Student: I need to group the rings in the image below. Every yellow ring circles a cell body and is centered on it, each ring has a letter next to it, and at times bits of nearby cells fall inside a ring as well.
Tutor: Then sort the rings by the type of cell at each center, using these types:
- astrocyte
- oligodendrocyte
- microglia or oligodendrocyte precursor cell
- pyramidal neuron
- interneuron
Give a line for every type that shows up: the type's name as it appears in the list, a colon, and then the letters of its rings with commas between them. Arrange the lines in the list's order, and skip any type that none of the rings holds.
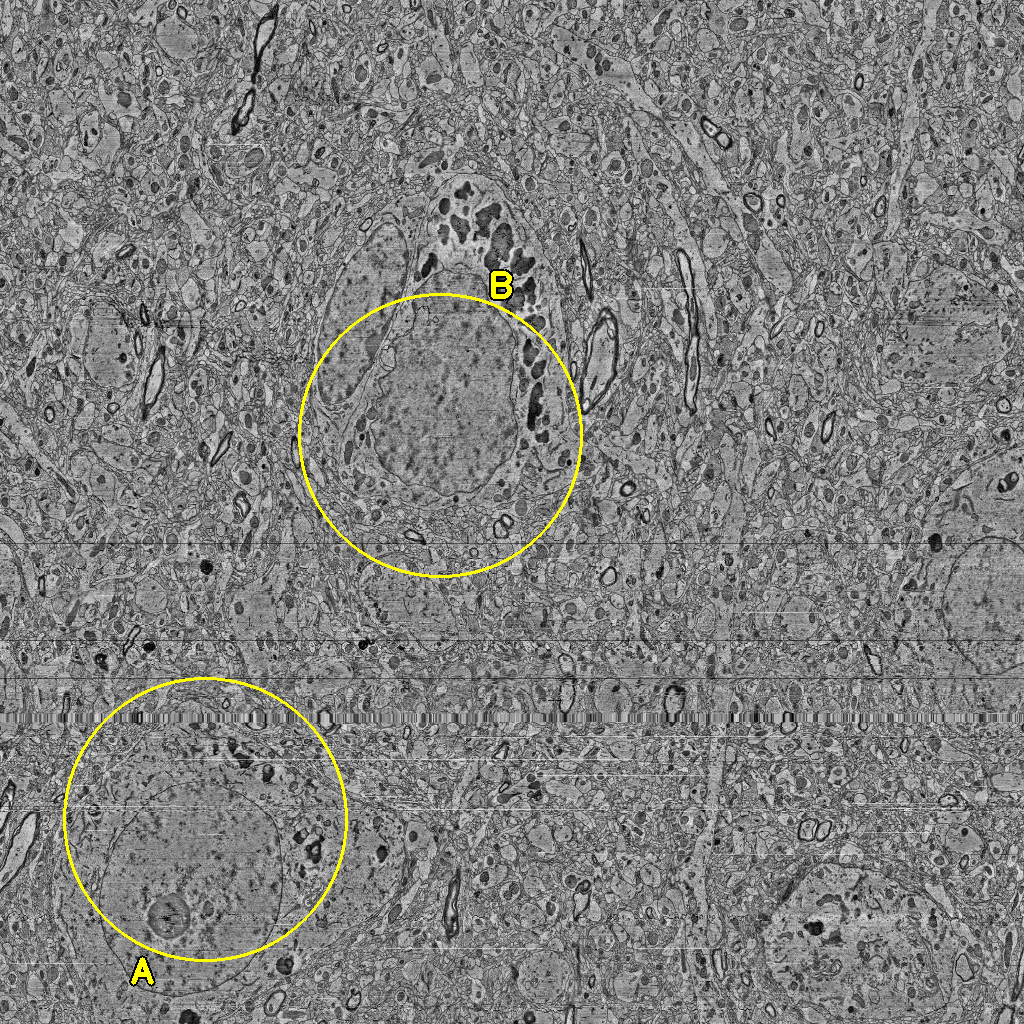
pyramidal neuron: A
interneuron: B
